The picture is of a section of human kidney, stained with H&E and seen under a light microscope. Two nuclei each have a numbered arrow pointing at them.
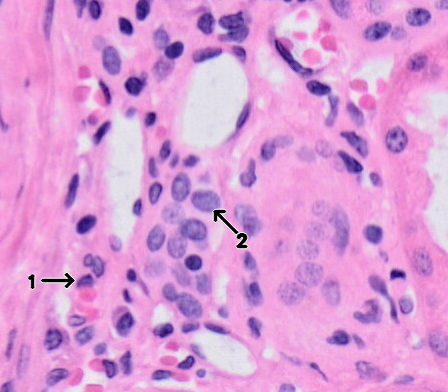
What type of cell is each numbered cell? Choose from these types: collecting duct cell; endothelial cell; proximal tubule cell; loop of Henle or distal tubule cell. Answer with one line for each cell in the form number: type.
1: endothelial cell
2: collecting duct cell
